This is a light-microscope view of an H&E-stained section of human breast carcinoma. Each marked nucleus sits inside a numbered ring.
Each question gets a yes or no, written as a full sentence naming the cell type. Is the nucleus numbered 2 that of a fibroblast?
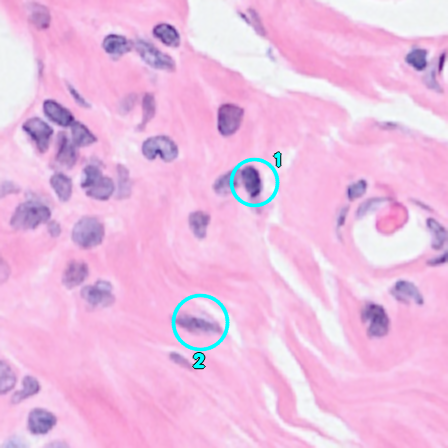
Yes, within this section, cell number 2 is a fibroblast.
